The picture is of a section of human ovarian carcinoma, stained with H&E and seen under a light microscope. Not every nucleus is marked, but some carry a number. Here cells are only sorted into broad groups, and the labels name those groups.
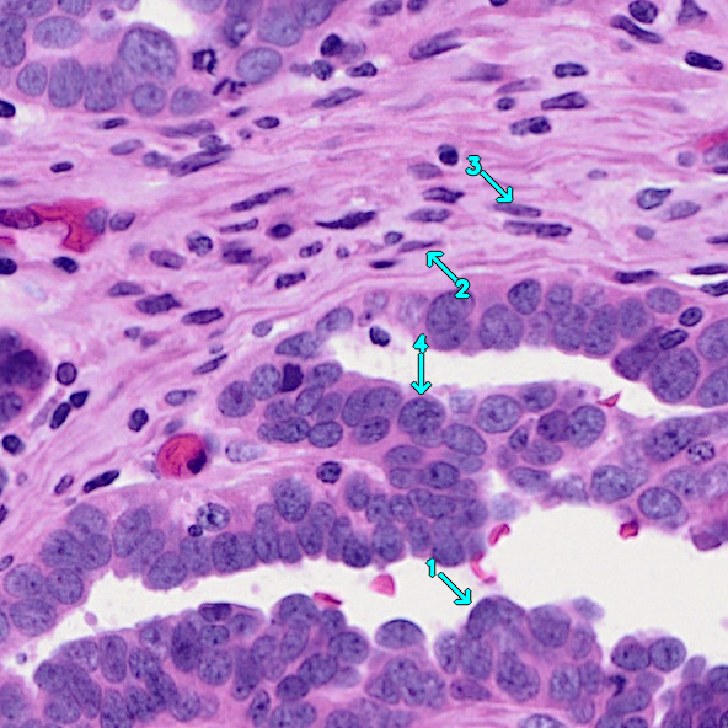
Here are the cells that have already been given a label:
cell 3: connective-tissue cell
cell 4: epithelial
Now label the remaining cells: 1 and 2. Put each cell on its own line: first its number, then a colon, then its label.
1: epithelial
2: connective-tissue cell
